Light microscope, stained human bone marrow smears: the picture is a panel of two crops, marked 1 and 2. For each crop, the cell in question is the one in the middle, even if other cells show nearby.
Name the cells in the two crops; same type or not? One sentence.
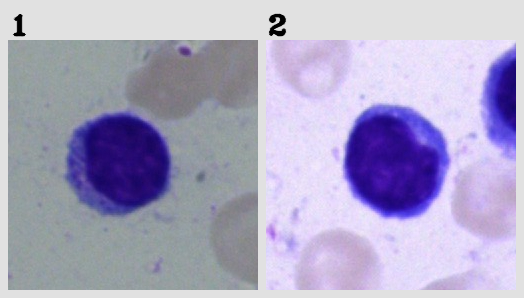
Yes, shown in both crops are lymphocytes.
